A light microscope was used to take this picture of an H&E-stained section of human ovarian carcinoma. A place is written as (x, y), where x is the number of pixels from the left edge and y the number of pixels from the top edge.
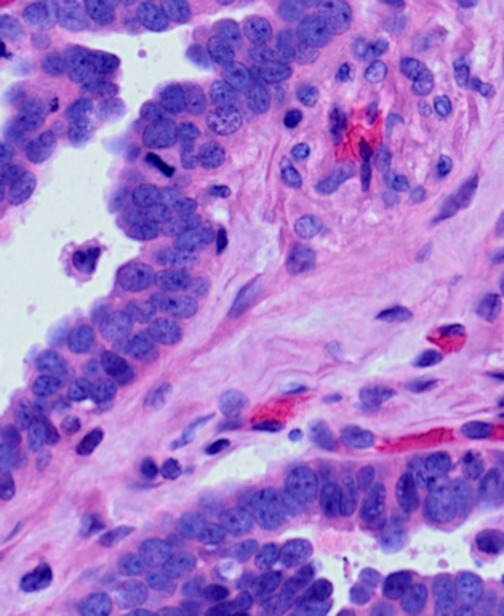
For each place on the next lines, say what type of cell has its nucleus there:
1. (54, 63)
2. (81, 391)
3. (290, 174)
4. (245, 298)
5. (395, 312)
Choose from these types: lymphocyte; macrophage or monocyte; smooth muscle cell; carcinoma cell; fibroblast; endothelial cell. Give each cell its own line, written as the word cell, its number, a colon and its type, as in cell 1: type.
cell 1: carcinoma cell
cell 2: carcinoma cell
cell 3: fibroblast
cell 4: fibroblast
cell 5: fibroblast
